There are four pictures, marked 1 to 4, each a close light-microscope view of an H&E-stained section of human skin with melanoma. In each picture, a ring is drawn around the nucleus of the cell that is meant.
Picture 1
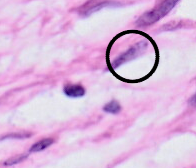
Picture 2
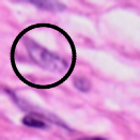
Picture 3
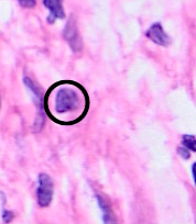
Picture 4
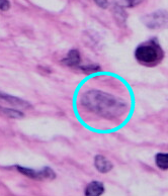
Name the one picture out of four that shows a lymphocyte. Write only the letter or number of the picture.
3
